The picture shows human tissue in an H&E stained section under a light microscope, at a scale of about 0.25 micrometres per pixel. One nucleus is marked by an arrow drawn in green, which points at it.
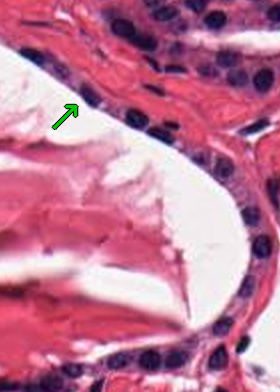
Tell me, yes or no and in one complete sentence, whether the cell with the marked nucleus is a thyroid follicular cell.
Yes, the marked nucleus represents the nucleus of a thyroid follicular cell.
